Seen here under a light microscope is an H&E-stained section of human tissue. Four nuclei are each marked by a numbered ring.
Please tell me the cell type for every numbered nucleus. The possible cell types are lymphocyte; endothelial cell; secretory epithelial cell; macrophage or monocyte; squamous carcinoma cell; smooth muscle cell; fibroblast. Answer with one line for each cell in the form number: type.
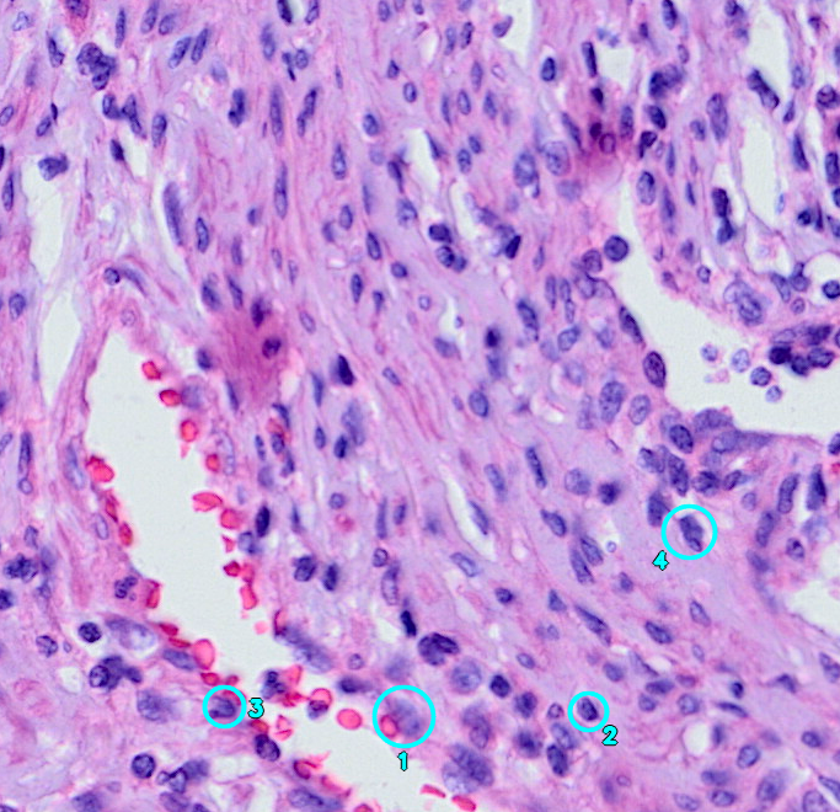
1: endothelial cell
2: lymphocyte
3: endothelial cell
4: lymphocyte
